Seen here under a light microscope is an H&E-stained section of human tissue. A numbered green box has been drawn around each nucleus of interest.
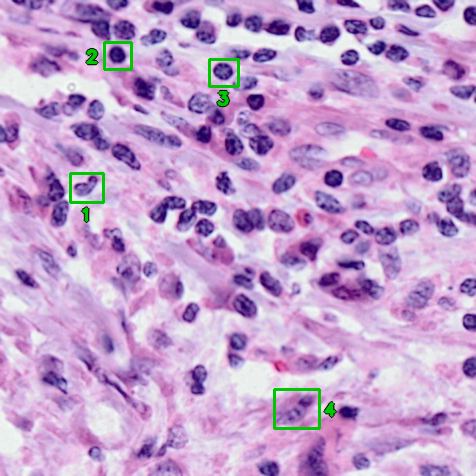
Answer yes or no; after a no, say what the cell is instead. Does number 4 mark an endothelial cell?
Yes.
